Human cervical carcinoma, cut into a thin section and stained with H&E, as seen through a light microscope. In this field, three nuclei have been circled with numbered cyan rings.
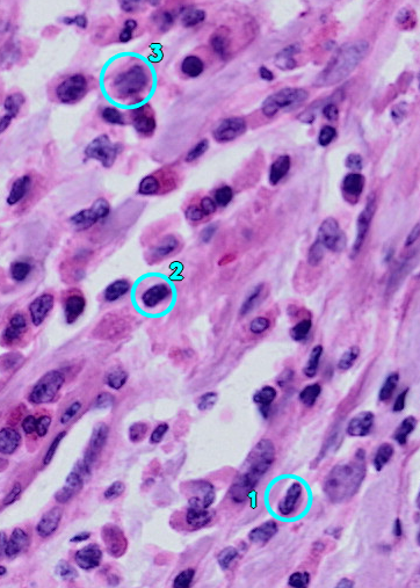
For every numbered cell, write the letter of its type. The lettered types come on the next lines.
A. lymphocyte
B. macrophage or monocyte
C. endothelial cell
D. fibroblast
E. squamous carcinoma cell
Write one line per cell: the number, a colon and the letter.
1: A
2: A
3: B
